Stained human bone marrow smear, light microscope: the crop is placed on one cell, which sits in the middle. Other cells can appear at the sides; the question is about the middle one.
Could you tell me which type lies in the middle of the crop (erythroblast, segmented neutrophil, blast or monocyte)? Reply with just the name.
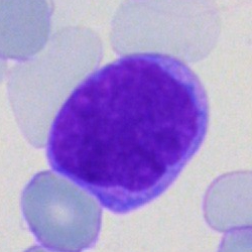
blast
